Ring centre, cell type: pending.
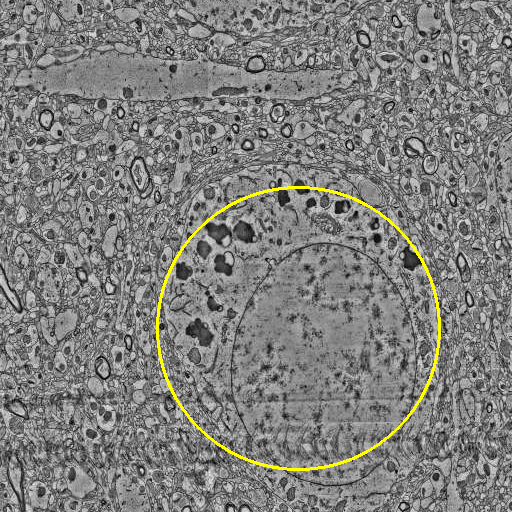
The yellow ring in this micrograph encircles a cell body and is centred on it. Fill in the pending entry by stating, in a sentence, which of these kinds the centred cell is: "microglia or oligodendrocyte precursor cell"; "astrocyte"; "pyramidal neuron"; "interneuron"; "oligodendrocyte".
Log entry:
The centred cell is recorded as a pyramidal neuron.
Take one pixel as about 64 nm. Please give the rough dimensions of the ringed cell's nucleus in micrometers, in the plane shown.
The nucleus appears roughly 16 by 12 micrometres in this plane.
